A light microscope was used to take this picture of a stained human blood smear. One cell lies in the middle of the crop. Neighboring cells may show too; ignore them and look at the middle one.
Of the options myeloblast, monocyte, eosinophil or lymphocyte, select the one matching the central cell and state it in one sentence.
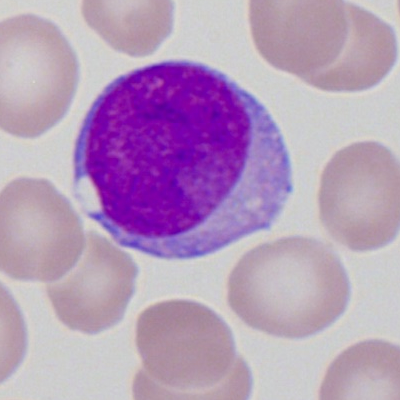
This particular crop is centered on a myeloblast.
